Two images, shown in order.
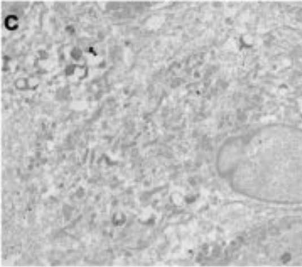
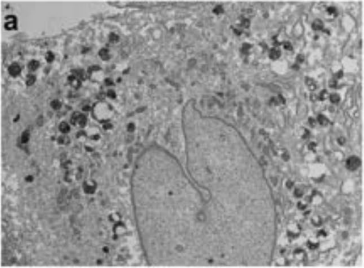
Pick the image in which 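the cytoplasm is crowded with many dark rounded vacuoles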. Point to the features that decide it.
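First image: the cytoplasm around the nucleus is pale and fibrous with hardly any dark round vacuoles. That points to this answer: the second image.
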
